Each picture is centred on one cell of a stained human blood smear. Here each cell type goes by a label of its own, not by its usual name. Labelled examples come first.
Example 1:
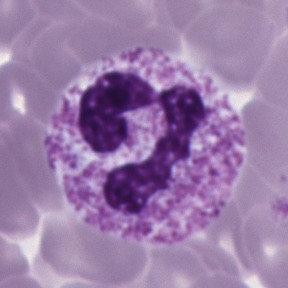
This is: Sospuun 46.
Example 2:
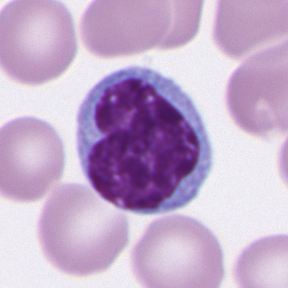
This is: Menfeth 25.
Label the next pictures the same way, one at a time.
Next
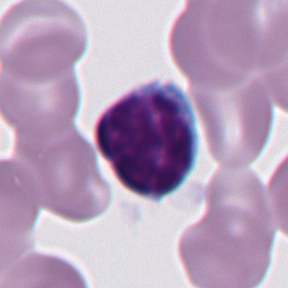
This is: Menfeth 25.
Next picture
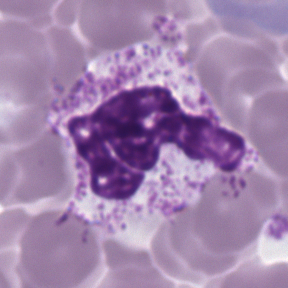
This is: Sospuun 46.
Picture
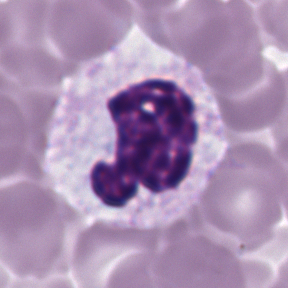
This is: Sospuun 46.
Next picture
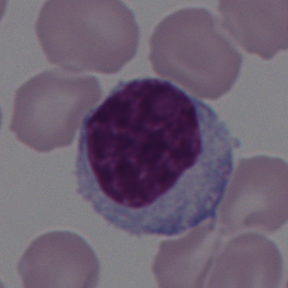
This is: Menfeth 25.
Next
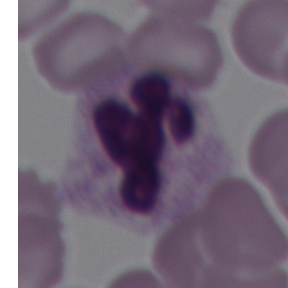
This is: Sospuun 46.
